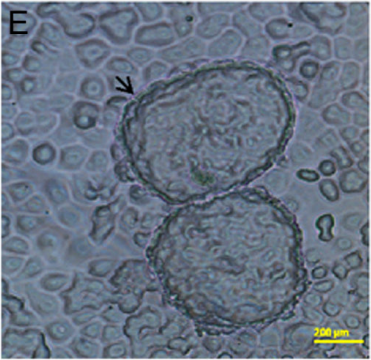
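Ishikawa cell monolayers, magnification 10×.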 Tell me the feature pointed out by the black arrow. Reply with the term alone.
spheroids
